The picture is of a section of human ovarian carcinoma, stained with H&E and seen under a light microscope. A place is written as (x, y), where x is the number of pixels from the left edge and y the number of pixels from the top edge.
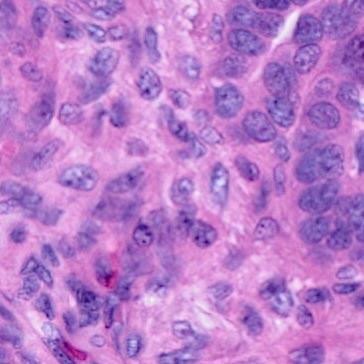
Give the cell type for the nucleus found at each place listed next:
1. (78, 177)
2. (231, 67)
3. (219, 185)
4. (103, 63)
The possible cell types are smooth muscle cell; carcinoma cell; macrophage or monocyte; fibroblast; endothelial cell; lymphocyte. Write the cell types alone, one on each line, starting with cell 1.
fibroblast
carcinoma cell
fibroblast
fibroblast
